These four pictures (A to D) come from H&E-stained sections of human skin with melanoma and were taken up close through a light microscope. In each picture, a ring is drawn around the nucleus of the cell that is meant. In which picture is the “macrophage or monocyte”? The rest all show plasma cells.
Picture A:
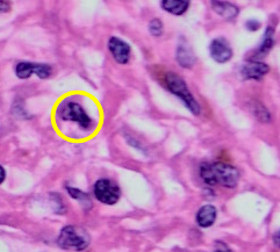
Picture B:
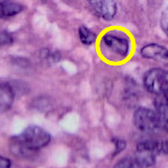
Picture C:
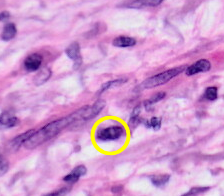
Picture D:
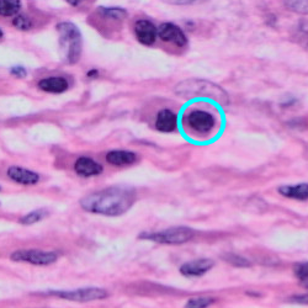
B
